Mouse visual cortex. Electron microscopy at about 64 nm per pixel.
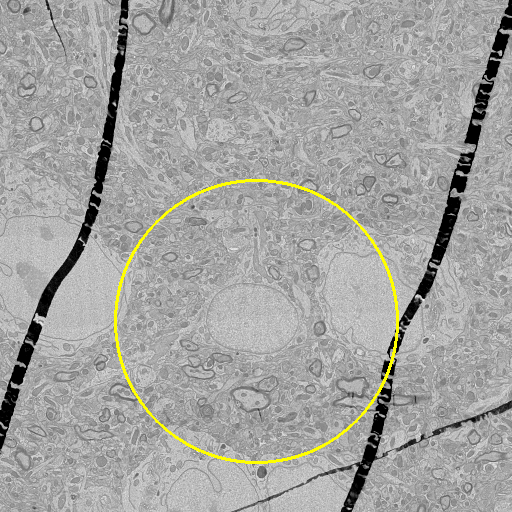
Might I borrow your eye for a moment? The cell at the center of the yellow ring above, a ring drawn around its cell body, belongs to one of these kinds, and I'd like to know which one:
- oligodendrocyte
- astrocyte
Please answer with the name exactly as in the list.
astrocyte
